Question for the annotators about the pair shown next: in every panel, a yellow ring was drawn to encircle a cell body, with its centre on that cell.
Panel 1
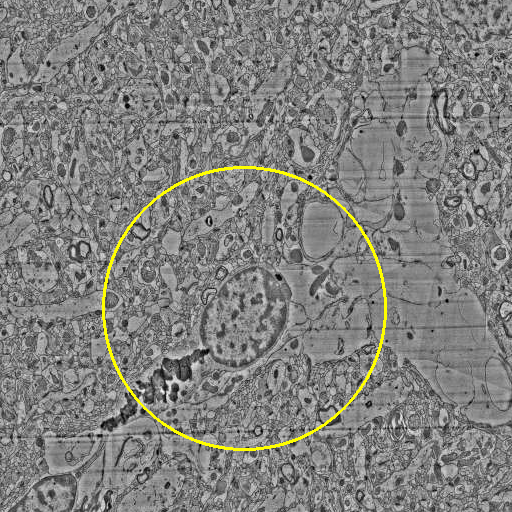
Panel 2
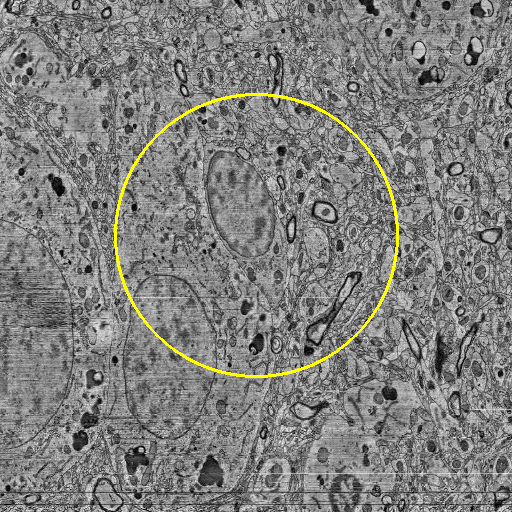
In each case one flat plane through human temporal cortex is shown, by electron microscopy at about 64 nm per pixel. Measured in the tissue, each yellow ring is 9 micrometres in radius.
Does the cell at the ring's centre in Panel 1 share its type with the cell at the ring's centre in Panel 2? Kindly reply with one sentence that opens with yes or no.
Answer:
Yes, in Panels 1 and 2 the cells at the ring centres belong to a single type.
